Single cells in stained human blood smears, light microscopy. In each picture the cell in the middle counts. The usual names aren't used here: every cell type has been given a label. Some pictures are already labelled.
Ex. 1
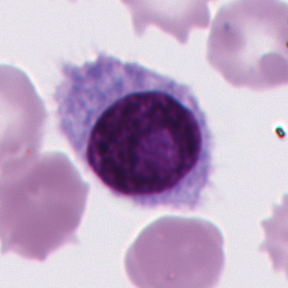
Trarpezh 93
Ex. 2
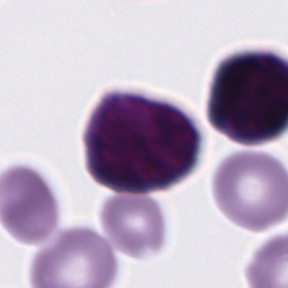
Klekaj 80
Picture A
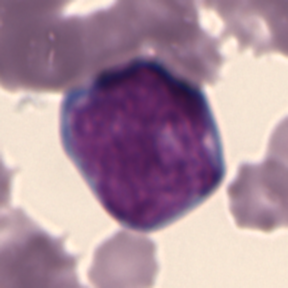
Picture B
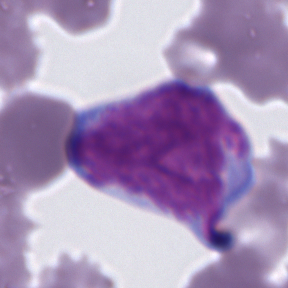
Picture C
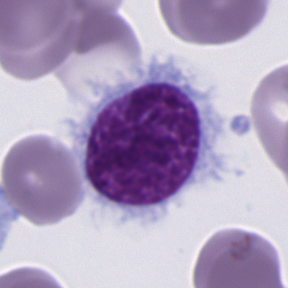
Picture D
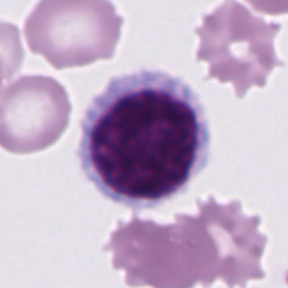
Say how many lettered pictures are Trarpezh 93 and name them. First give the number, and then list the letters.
2, namely C, D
